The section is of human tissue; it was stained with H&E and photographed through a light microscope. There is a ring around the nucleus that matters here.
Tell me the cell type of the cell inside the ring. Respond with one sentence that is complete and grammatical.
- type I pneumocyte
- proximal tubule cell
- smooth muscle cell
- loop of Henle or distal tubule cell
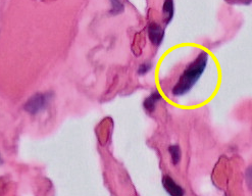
The identity of the cell inside the ring: it is a type I pneumocyte.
